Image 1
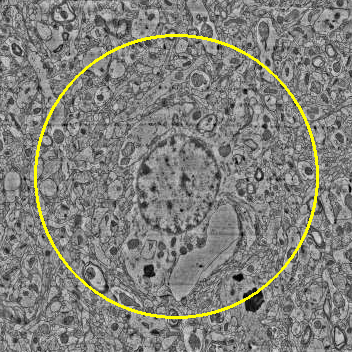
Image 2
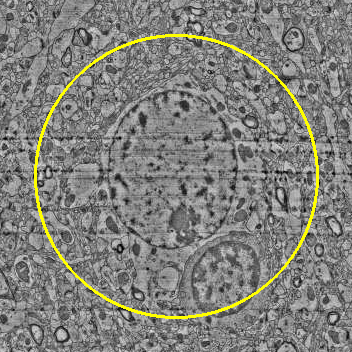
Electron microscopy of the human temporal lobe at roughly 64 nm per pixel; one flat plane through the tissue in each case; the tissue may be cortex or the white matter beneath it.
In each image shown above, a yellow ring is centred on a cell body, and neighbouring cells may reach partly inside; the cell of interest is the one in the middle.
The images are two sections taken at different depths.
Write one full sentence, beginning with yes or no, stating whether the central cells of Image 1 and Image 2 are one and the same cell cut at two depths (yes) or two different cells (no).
Yes, the two rings encircle a single cell, not a pair.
